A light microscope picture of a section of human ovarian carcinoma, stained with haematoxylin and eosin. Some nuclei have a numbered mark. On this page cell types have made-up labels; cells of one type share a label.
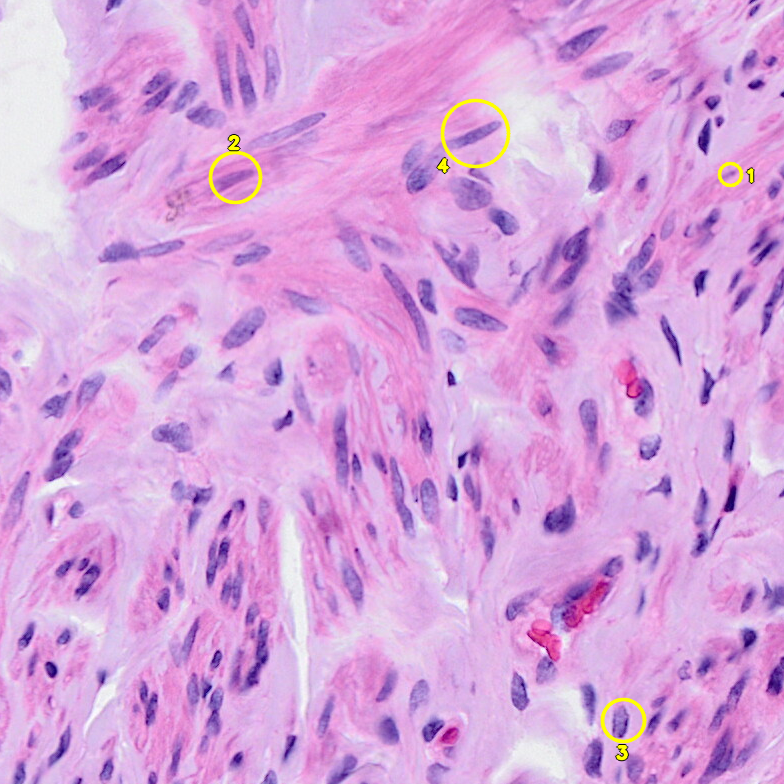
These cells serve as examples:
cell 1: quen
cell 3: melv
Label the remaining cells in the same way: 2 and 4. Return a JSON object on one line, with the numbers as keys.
{"2": "quen", "4": "quen"}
